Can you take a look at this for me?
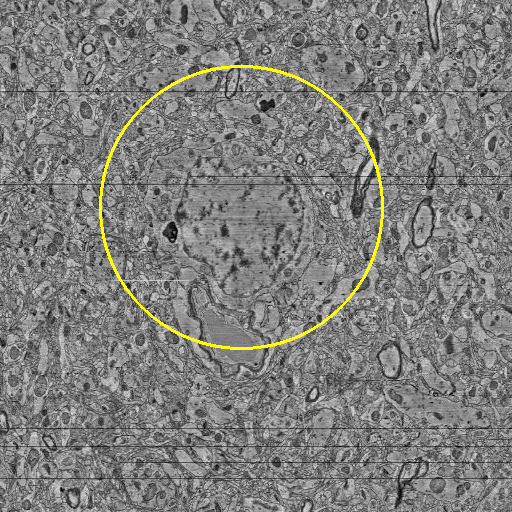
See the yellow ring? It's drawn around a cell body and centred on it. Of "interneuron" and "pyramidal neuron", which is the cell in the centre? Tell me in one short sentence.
The one in the centre is an interneuron.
